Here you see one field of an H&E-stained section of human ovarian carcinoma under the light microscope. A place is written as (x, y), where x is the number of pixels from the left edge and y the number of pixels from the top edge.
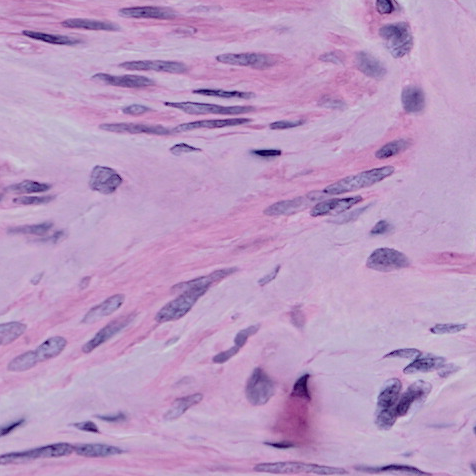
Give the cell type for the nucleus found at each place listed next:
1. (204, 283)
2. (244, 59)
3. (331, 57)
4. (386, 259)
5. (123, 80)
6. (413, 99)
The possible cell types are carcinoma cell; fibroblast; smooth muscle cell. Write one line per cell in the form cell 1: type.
cell 1: smooth muscle cell
cell 2: smooth muscle cell
cell 3: smooth muscle cell
cell 4: fibroblast
cell 5: smooth muscle cell
cell 6: fibroblast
